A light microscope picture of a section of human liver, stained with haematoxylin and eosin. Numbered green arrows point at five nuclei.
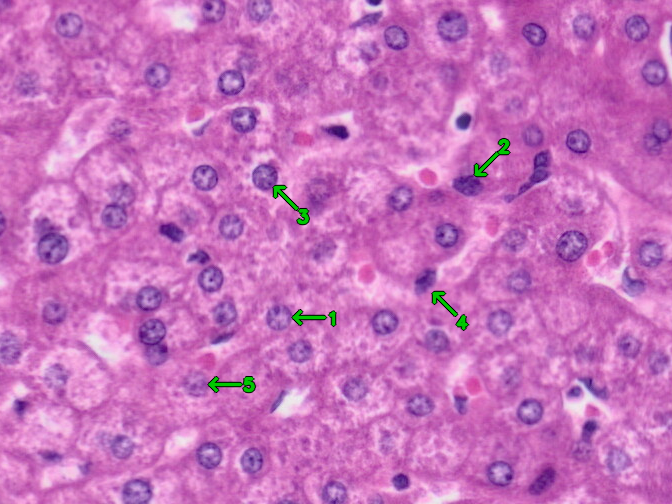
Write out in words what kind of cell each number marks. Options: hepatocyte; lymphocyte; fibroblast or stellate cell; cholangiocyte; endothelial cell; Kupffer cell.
Cells 1, 3 and 5 are hepatocytes. Cell 2 is a fibroblast or stellate cell. Cell 4 is an endothelial cell.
